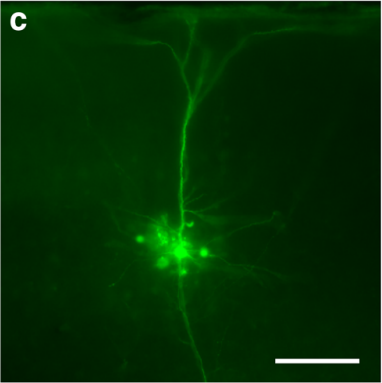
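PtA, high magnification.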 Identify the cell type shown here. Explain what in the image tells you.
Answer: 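A single long apical dendrite rises straight up from the cell body toward the top surface. The dendrite branches near the top. Shorter dendrites radiate from the soma. So: pyramidal neuron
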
